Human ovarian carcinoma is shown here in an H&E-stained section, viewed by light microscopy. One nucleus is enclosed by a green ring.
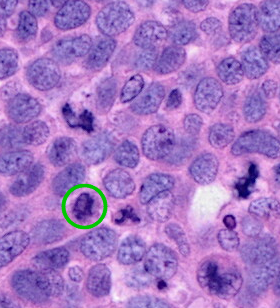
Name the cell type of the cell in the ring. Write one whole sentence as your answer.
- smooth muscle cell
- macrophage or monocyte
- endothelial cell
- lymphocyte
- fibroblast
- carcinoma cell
In this field of tissue, the cell in the ring is a carcinoma cell.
